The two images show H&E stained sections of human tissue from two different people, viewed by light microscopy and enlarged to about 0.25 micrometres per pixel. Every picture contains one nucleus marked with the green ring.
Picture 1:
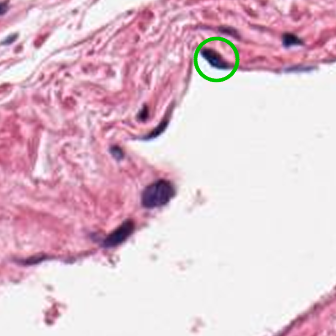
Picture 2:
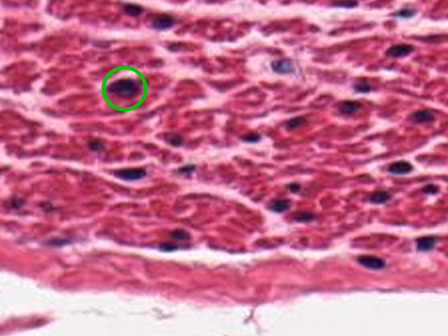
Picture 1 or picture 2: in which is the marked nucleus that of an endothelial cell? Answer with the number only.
1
